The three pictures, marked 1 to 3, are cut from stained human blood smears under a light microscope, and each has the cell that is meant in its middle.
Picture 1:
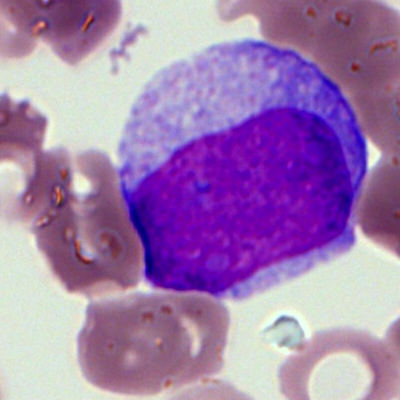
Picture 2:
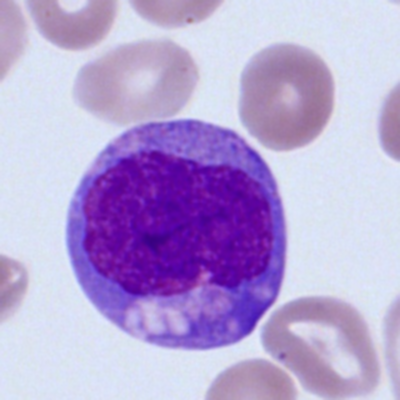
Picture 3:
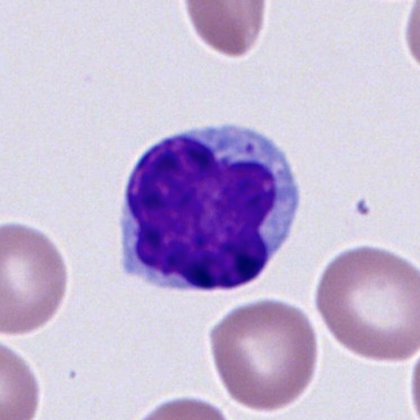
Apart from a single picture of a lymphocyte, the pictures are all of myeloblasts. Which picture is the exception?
3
